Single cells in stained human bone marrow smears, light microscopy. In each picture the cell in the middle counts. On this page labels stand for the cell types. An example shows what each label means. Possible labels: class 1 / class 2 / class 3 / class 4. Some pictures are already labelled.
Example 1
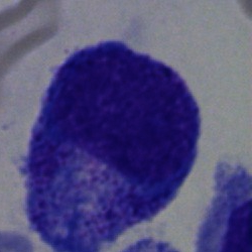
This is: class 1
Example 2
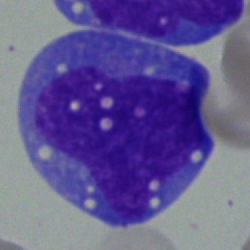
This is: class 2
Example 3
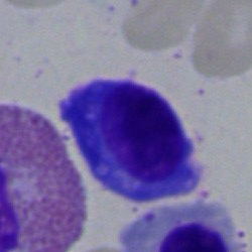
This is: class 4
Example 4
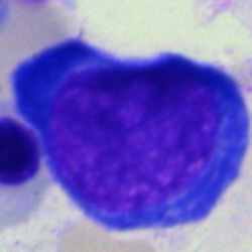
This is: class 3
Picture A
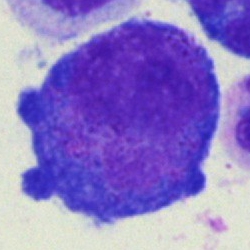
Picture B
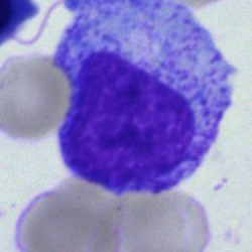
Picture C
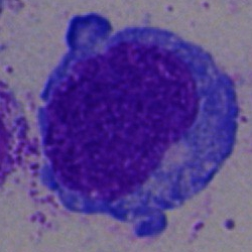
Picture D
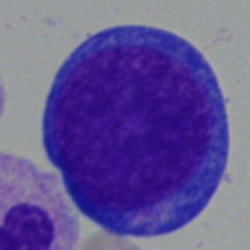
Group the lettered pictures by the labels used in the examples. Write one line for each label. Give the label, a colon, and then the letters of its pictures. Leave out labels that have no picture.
class 1: A, B, C
class 3: D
